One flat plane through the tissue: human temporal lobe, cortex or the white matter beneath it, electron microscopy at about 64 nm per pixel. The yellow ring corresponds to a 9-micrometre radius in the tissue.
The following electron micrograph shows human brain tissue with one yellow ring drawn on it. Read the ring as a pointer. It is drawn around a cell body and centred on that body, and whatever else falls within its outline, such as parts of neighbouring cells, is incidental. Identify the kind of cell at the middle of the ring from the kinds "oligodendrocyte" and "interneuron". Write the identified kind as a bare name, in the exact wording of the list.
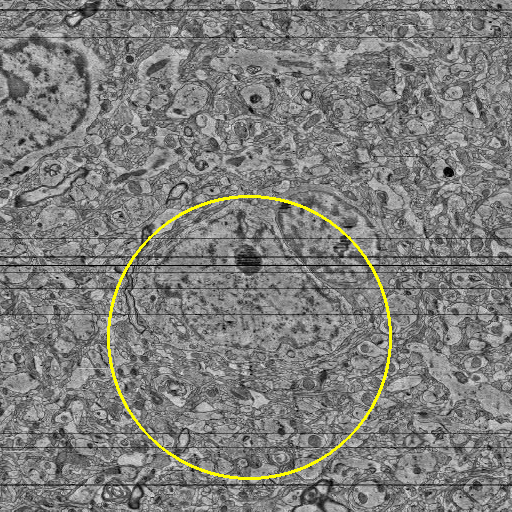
interneuron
